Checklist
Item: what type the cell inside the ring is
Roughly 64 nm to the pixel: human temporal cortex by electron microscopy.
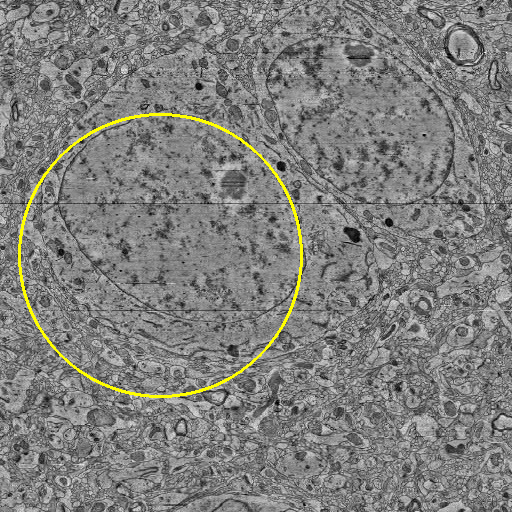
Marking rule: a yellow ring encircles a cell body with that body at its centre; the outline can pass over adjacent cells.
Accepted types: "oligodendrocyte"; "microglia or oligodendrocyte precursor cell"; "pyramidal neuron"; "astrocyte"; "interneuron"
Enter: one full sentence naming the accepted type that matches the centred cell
The entry is that a pyramidal neuron lies at the centre of the yellow ring.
